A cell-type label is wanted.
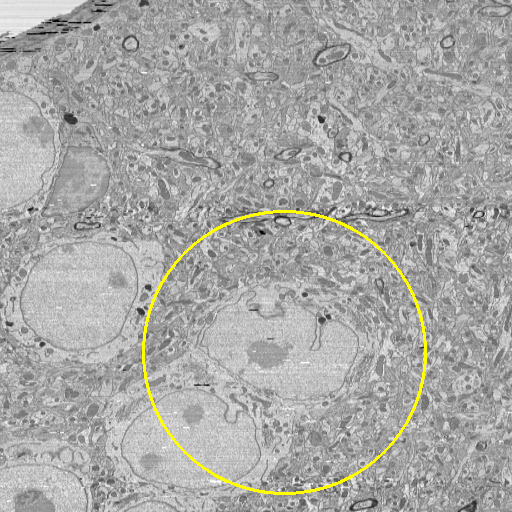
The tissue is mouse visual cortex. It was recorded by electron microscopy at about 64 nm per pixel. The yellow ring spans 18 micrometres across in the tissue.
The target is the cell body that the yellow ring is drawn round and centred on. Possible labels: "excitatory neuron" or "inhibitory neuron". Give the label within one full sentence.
Of the labels offered, the cell in the middle of the yellow ring is an inhibitory neuron.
